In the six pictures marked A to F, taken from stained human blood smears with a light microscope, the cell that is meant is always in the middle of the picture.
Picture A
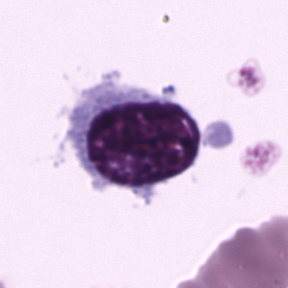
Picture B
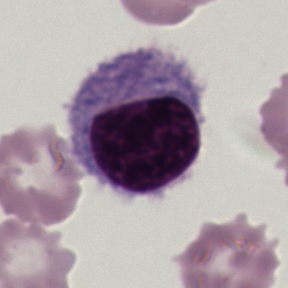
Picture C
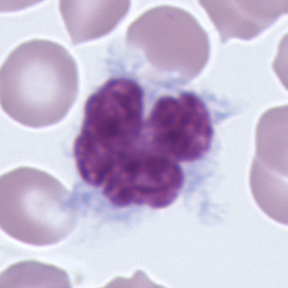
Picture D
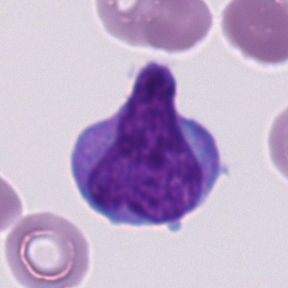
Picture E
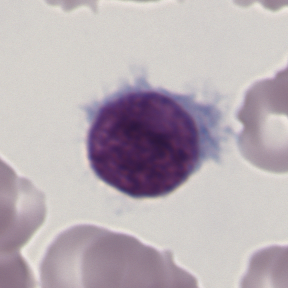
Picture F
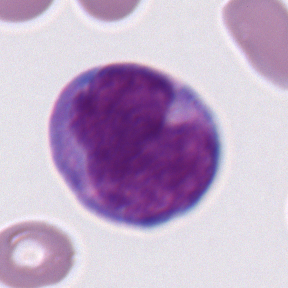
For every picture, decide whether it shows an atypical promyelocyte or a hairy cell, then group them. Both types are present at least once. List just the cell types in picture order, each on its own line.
hairy cell
hairy cell
hairy cell
atypical promyelocyte
hairy cell
atypical promyelocyte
